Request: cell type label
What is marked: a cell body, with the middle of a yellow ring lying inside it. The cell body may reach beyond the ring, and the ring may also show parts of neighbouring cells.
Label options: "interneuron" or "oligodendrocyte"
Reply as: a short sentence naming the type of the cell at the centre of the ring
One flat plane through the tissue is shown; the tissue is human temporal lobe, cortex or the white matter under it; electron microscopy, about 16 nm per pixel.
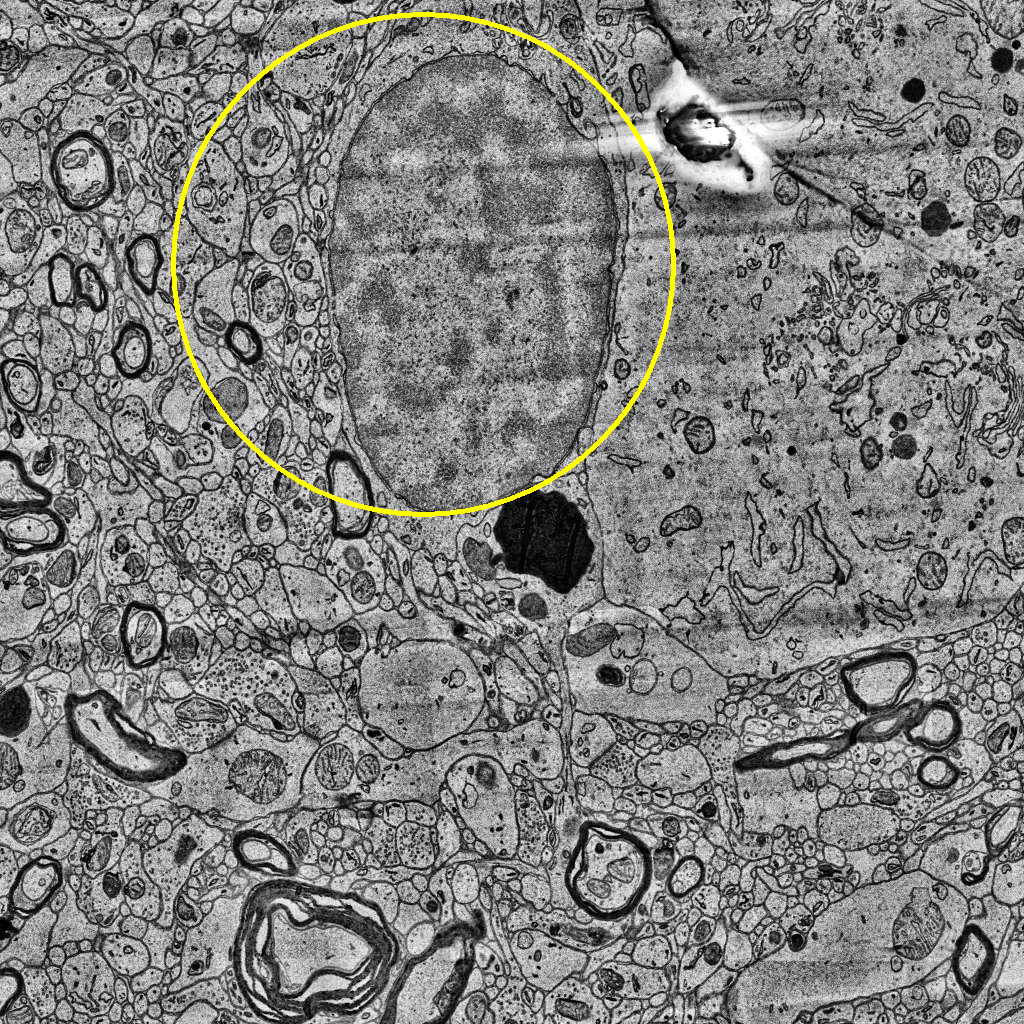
The marked cell body is that of an oligodendrocyte.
